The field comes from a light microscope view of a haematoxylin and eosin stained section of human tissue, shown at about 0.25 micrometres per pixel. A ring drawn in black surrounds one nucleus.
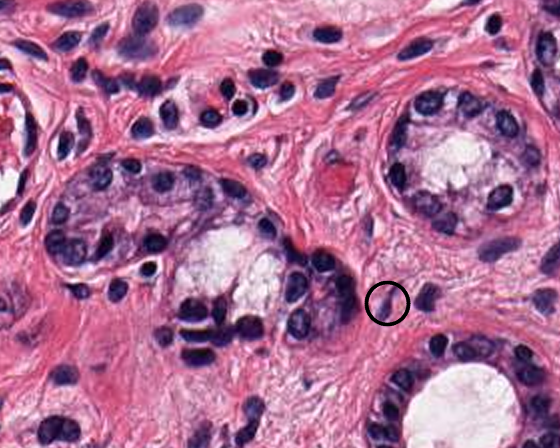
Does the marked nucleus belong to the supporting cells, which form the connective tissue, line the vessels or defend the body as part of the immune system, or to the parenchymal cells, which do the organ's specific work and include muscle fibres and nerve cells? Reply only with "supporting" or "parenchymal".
supporting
